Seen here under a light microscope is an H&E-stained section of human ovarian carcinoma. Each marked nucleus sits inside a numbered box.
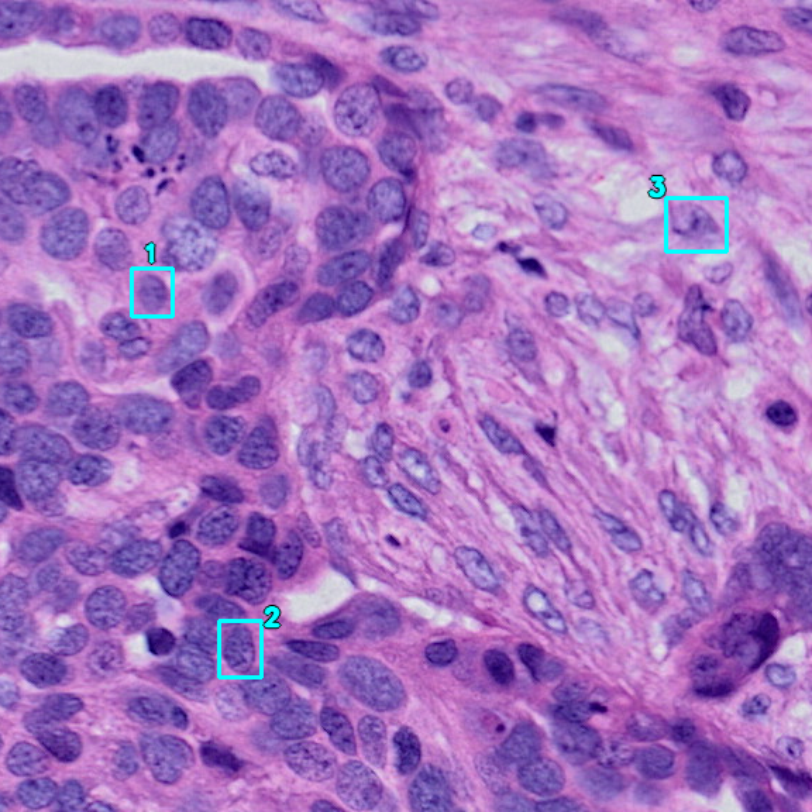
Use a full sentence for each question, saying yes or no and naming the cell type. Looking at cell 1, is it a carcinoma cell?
Yes, number 1 marks a cell that is a carcinoma cell.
